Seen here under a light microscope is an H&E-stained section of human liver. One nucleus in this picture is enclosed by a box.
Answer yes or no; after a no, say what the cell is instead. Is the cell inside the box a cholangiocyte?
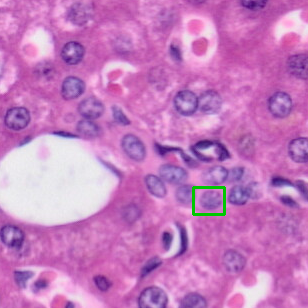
Yes.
